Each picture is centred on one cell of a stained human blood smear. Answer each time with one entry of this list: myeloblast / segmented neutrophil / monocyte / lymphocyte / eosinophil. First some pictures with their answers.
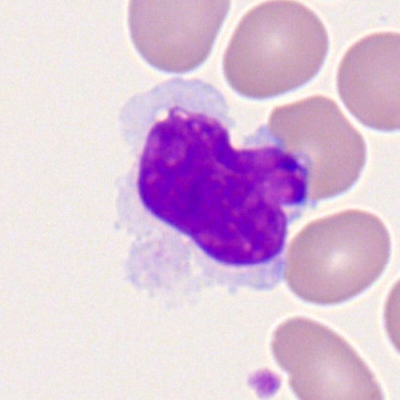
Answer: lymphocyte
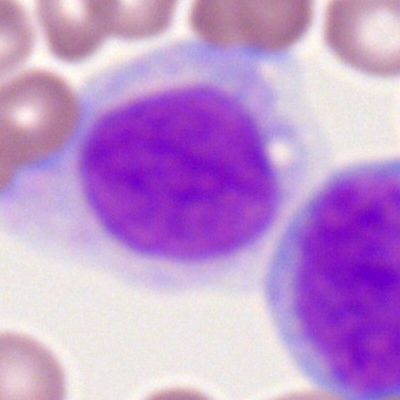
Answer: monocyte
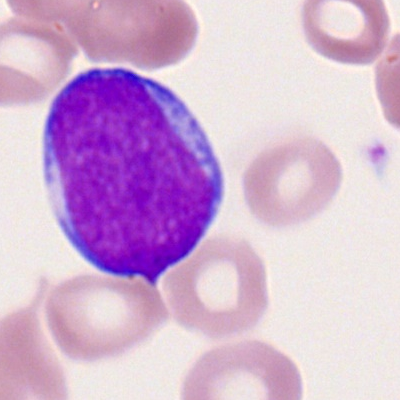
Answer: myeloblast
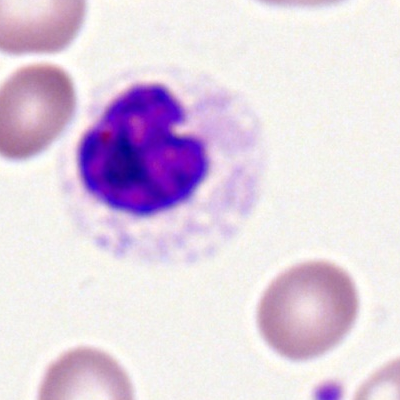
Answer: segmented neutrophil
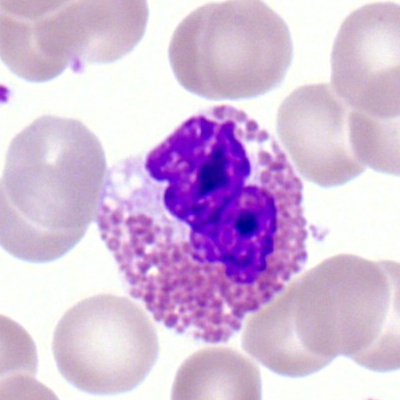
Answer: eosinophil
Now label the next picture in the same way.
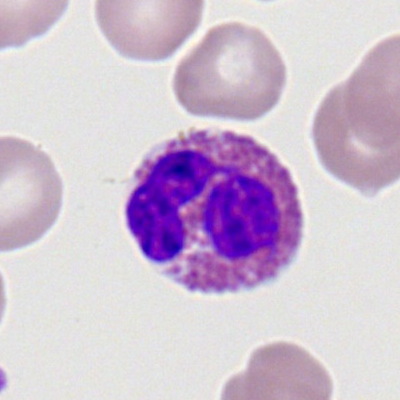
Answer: eosinophil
